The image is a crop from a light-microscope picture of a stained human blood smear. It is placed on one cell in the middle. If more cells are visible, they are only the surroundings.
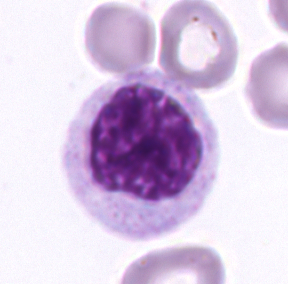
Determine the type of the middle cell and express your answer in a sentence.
This crop's central cell is a metamyelocyte.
